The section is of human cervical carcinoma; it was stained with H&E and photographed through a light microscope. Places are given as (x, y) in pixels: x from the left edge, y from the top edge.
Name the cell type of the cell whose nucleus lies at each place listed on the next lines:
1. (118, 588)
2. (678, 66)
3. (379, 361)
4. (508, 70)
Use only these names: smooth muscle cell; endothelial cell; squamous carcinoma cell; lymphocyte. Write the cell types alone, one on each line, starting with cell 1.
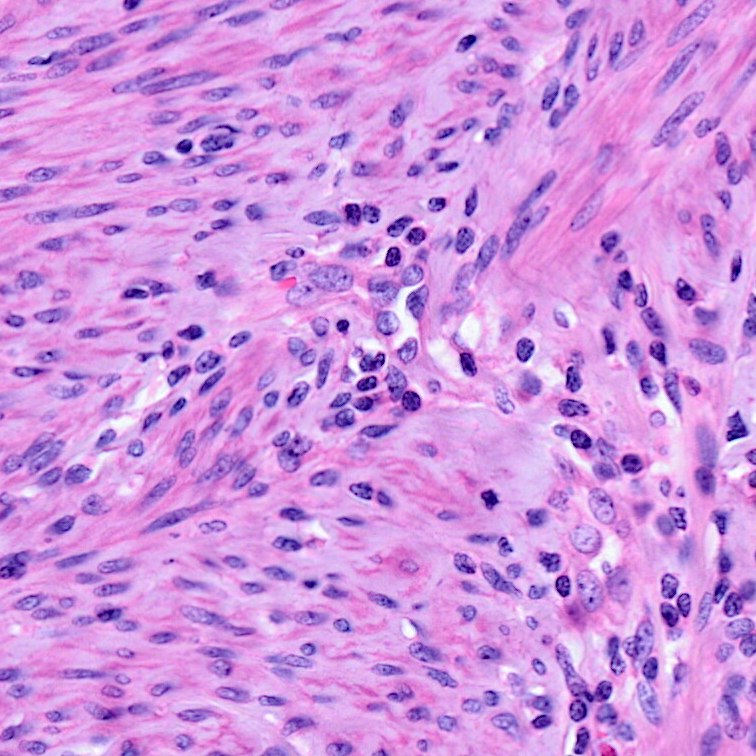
smooth muscle cell
smooth muscle cell
lymphocyte
smooth muscle cell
